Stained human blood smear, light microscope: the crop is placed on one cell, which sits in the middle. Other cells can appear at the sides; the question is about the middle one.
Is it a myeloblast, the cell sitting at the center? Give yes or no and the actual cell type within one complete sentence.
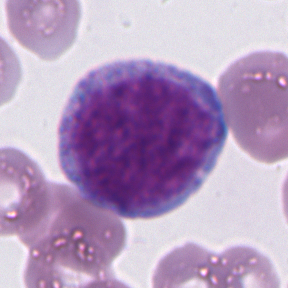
No, the central cell is designated a promyelocyte and not a myeloblast.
